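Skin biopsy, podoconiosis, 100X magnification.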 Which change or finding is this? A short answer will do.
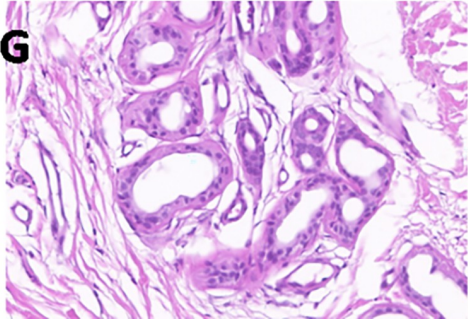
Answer: Dilated eccrine gland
